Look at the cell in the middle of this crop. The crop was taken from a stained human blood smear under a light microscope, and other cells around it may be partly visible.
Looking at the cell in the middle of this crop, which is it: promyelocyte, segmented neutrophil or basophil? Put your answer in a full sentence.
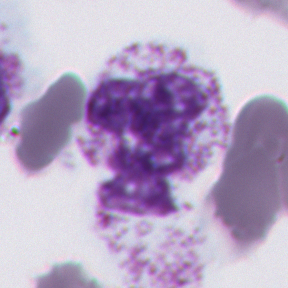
In the central position of this crop, the cell is a segmented neutrophil.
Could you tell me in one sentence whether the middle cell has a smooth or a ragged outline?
Along its border, the cell is uneven, whether by ragged stretches or by projections.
